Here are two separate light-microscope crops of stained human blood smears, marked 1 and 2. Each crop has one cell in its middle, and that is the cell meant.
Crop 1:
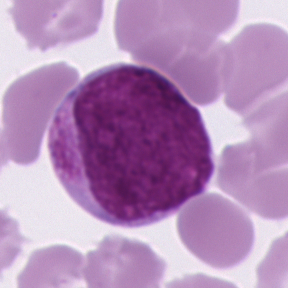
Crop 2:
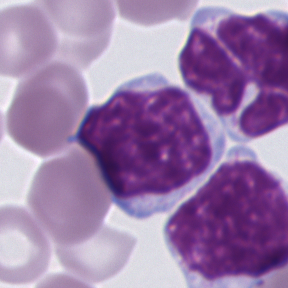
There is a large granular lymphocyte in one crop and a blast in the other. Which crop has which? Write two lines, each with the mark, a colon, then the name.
1: blast
2: large granular lymphocyte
